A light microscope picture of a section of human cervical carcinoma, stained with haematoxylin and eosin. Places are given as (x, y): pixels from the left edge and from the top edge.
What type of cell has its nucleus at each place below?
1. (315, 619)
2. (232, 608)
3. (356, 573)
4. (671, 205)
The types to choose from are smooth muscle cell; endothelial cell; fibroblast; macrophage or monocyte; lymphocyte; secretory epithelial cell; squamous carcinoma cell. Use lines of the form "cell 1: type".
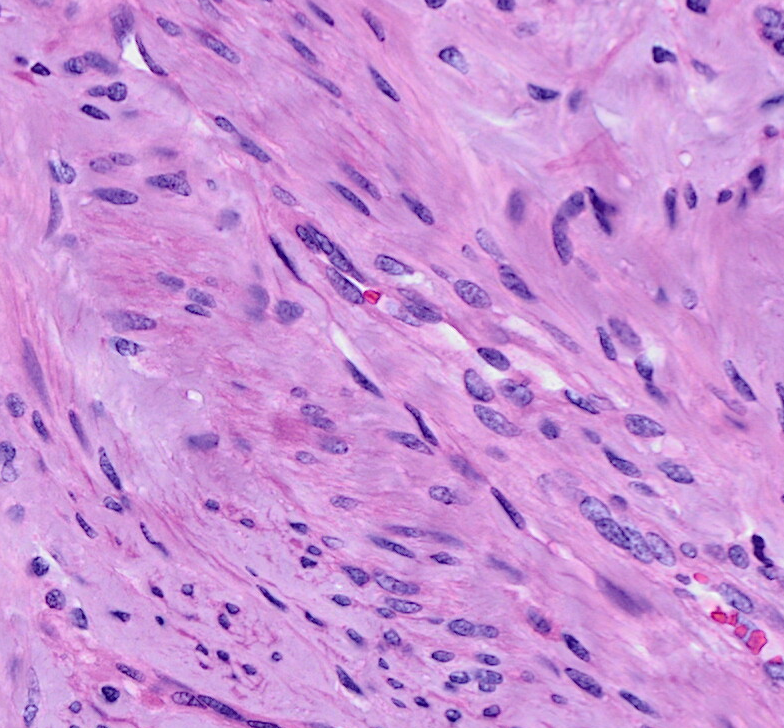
cell 1: smooth muscle cell
cell 2: smooth muscle cell
cell 3: smooth muscle cell
cell 4: fibroblast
